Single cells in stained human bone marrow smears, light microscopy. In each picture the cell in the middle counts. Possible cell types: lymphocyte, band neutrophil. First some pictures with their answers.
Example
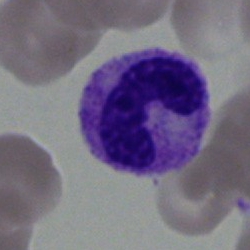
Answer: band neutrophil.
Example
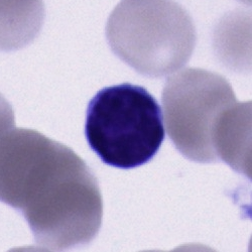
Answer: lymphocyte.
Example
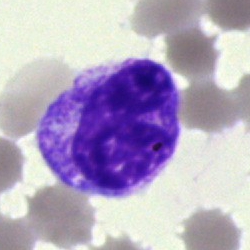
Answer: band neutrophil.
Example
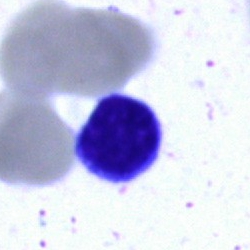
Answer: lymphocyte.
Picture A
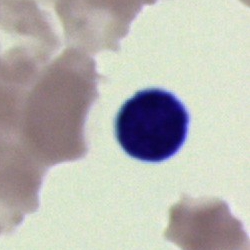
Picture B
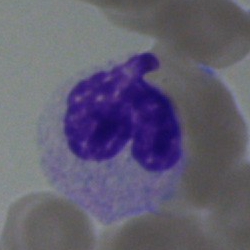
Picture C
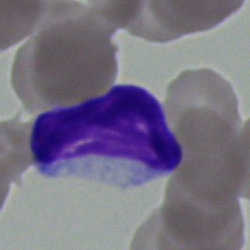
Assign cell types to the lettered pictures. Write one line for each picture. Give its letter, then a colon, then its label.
A: lymphocyte.
B: band neutrophil.
C: lymphocyte.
